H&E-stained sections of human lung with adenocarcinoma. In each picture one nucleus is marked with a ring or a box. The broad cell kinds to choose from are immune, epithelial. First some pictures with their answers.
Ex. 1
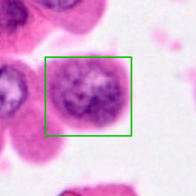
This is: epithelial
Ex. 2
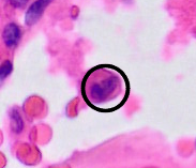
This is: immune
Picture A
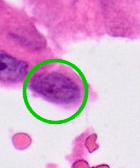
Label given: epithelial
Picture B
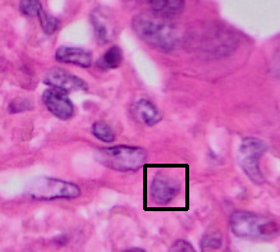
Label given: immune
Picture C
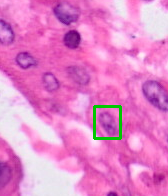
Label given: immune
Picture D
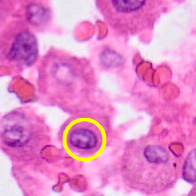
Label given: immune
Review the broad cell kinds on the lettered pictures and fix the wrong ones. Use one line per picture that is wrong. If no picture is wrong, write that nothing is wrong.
Nothing to fix; every label fits.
